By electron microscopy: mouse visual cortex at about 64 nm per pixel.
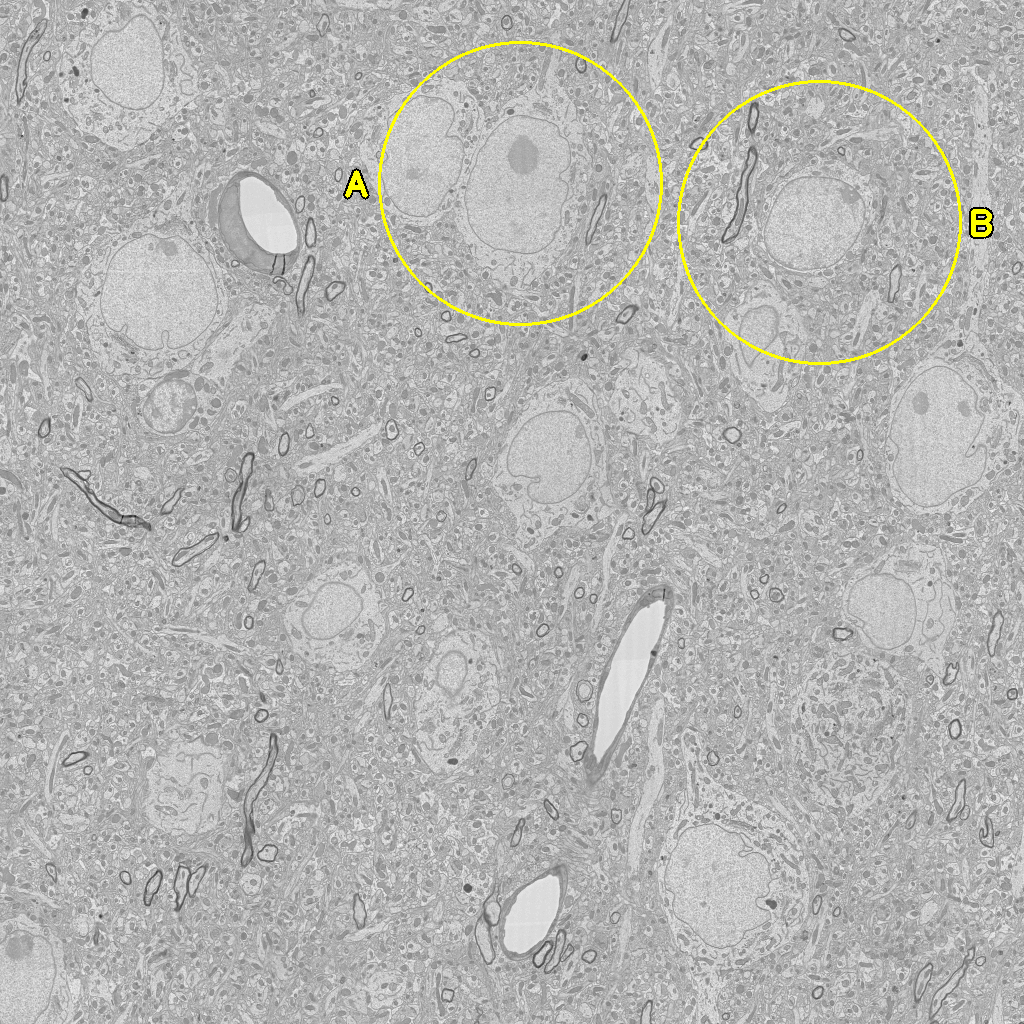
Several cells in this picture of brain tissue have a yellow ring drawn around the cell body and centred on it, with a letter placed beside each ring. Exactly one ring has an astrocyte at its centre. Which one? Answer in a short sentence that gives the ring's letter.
Ring B is centred on it.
